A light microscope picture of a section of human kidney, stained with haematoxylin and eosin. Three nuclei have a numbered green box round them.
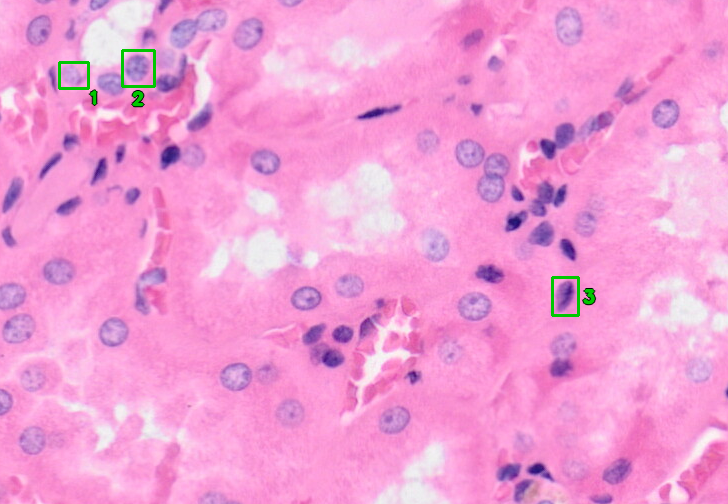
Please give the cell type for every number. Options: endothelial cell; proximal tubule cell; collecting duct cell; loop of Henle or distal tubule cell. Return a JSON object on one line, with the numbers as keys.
{"1": "collecting duct cell", "2": "collecting duct cell", "3": "endothelial cell"}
